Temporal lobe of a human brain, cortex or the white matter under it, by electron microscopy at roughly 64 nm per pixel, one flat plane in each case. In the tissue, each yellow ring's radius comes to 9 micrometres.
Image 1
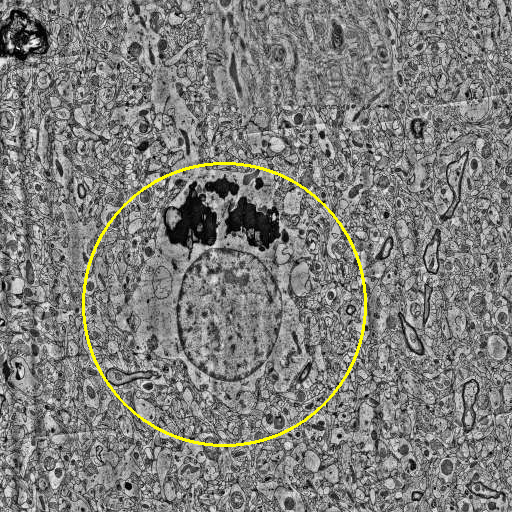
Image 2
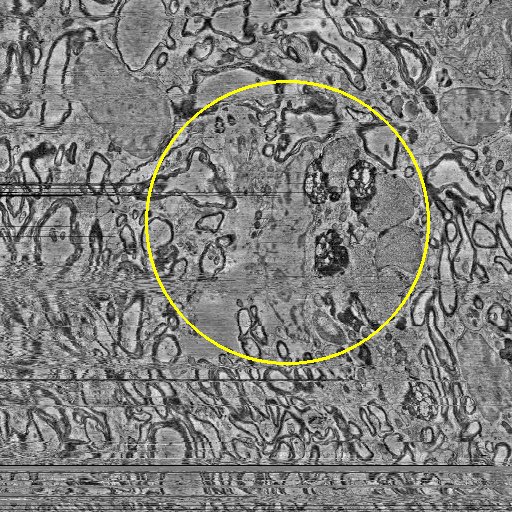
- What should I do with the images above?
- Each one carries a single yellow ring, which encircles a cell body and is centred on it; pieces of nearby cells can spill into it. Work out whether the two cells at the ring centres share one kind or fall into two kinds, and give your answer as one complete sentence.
The ring-centre cells of Image 1 and Image 2 share one kind.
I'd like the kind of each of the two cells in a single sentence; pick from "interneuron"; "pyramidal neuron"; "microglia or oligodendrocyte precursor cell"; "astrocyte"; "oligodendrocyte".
Both rings mark an astrocyte, one in each picture.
